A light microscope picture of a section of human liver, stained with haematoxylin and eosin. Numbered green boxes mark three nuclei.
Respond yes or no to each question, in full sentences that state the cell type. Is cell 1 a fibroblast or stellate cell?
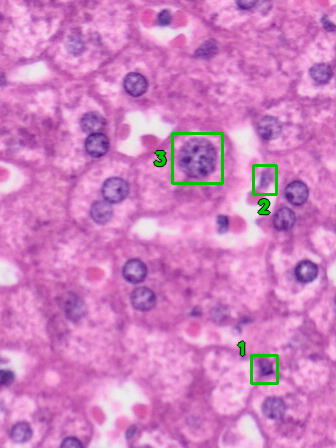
Yes, the cell referred to as number 1 is a fibroblast or stellate cell.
